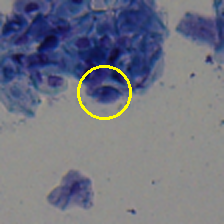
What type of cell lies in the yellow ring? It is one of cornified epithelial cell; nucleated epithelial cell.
The ringed cell is a nucleated epithelial cell.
